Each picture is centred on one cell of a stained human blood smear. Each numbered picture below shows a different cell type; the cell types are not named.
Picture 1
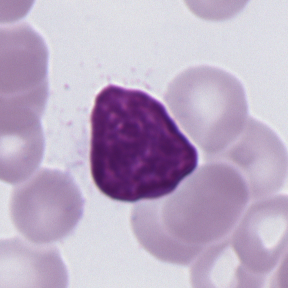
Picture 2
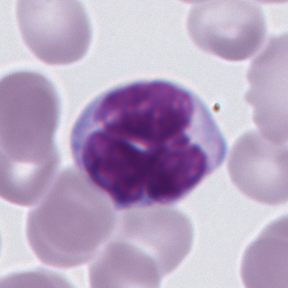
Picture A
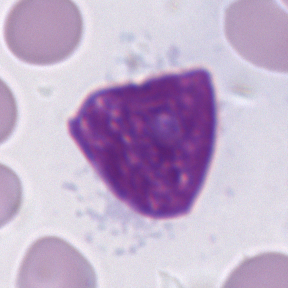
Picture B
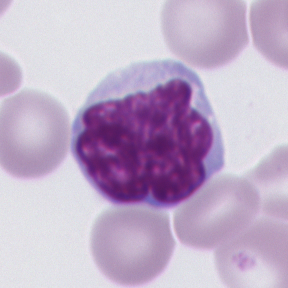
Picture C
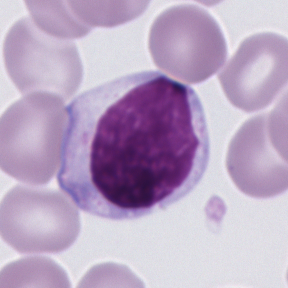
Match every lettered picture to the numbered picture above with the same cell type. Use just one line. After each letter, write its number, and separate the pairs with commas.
A 1, B 2, C 2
